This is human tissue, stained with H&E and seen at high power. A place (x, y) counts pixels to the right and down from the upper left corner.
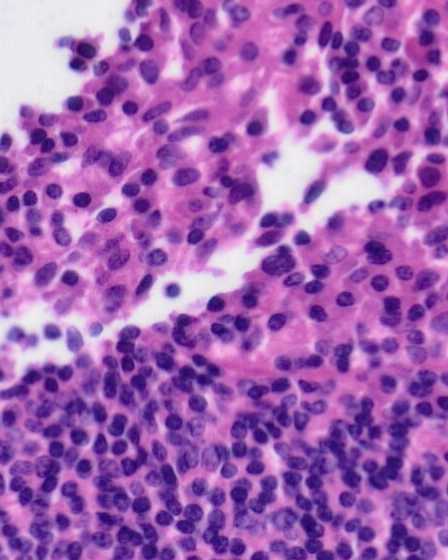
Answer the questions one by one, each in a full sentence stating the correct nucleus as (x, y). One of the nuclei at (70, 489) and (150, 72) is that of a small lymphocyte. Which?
It is the nucleus at (70, 489), not the other one, that belongs to a small lymphocyte.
